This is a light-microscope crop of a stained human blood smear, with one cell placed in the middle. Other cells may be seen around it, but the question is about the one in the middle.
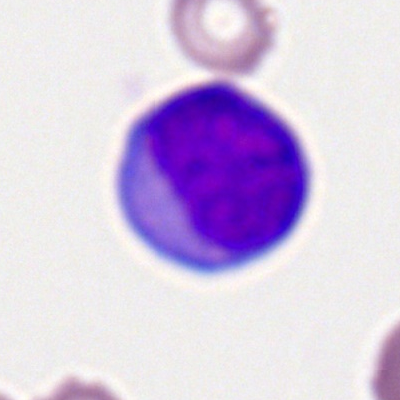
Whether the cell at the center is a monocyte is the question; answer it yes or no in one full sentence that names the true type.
No, the cell centered in the crop is a myeloblast, not a monocyte.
